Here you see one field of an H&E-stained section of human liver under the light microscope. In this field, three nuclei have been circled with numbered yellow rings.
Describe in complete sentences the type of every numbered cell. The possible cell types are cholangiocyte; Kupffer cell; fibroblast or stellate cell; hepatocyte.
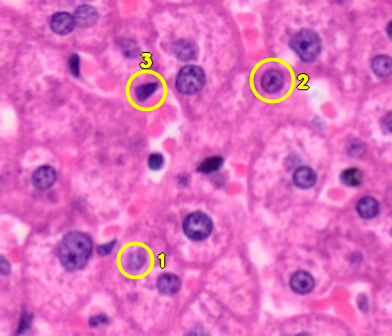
Cell 1 is a hepatocyte, cell 2 is a hepatocyte and cell 3 is a fibroblast or stellate cell.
